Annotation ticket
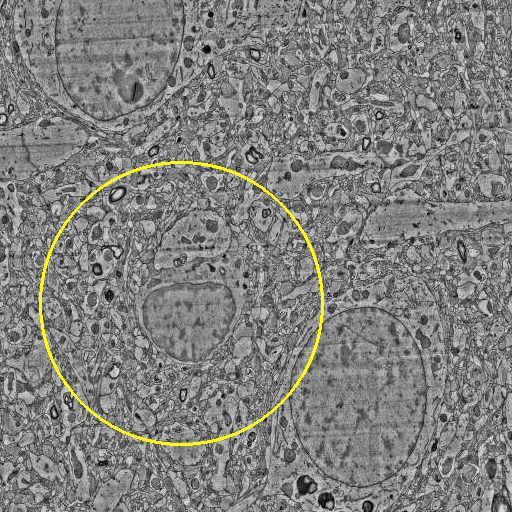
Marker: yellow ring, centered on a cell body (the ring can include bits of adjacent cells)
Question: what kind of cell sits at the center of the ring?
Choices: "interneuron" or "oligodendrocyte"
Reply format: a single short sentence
The ring is centered on an oligodendrocyte.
